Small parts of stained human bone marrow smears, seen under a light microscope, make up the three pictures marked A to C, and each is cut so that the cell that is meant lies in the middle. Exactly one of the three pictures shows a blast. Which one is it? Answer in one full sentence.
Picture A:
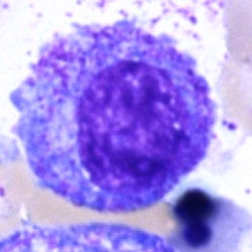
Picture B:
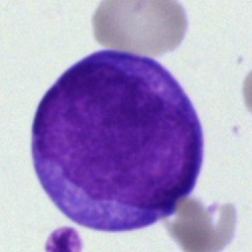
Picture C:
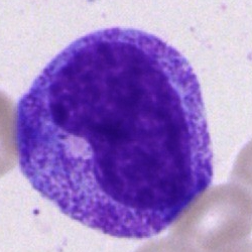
It is picture B that shows the blast.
